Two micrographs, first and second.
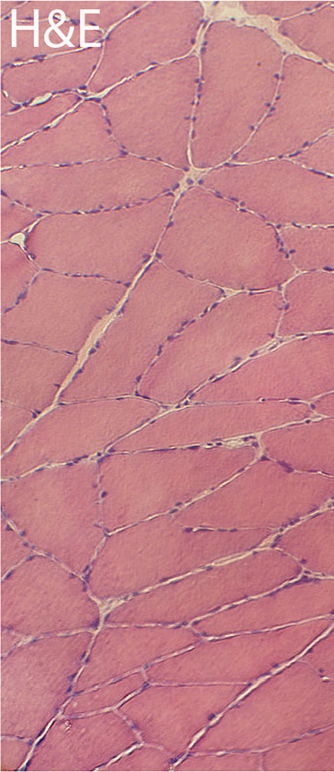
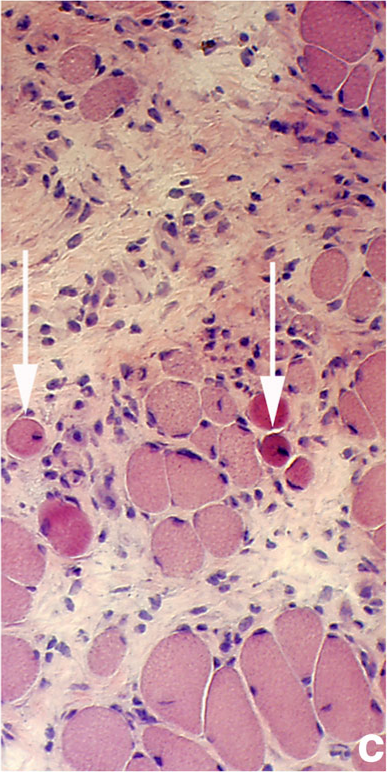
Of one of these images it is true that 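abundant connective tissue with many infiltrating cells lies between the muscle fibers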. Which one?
The second image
